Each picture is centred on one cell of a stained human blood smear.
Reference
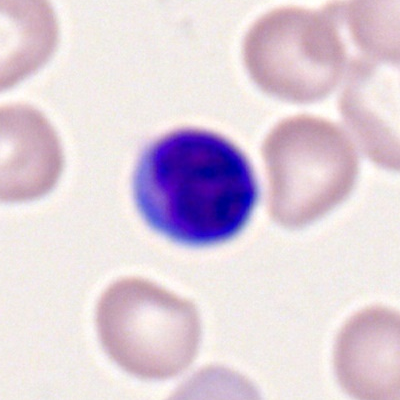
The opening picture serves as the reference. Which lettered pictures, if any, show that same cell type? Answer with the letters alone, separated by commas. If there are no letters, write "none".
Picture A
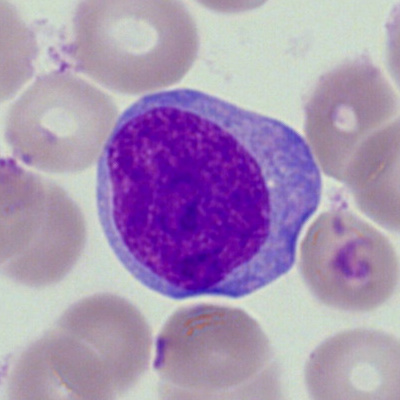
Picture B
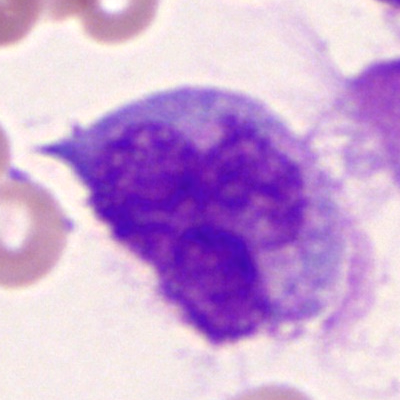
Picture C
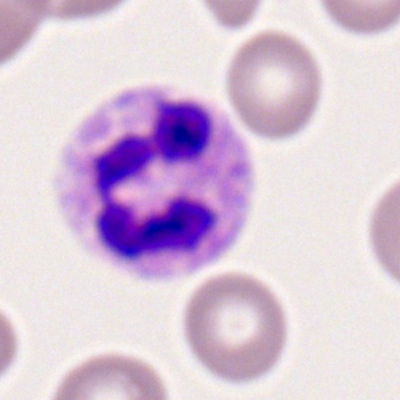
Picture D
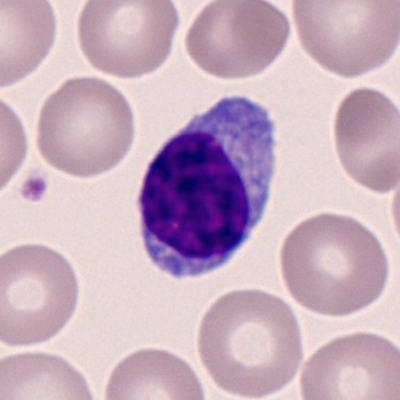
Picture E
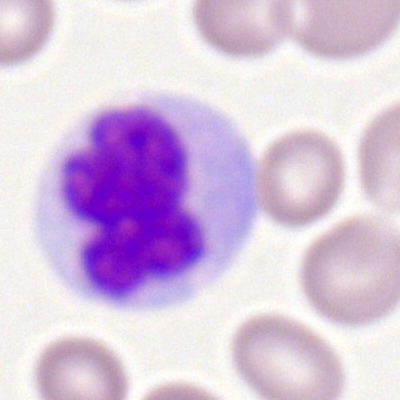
D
